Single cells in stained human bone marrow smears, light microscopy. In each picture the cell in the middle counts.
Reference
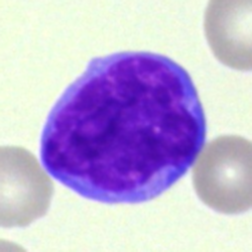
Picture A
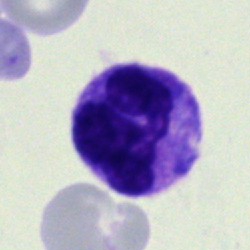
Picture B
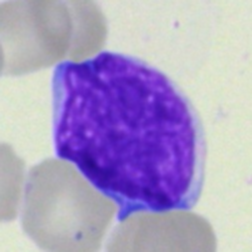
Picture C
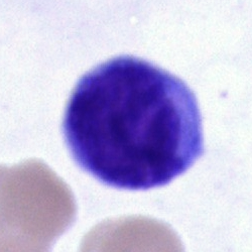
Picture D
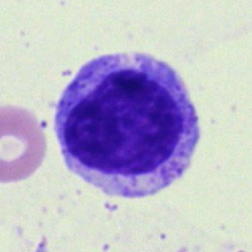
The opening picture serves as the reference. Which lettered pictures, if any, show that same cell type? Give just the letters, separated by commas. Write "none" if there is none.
B, C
